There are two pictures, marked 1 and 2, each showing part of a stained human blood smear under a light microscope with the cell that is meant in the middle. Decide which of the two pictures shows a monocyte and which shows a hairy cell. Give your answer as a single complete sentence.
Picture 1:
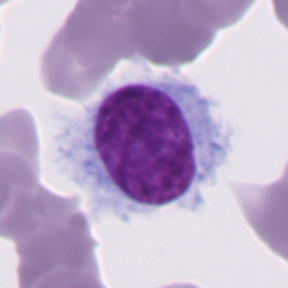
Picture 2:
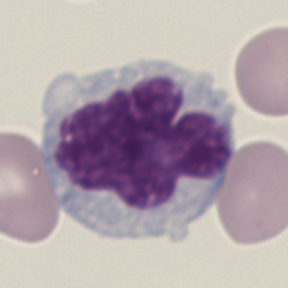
In picture 1 the cell is a hairy cell; in picture 2, a monocyte.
